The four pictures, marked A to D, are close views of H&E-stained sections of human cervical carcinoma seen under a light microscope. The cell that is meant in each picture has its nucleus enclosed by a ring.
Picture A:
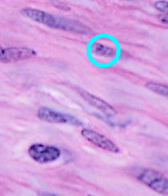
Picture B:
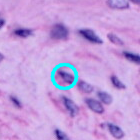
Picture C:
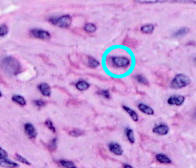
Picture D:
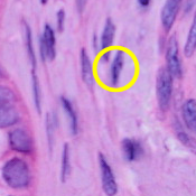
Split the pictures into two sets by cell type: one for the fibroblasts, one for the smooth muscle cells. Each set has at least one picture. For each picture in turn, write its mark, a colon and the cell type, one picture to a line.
A: smooth muscle cell
B: smooth muscle cell
C: smooth muscle cell
D: fibroblast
